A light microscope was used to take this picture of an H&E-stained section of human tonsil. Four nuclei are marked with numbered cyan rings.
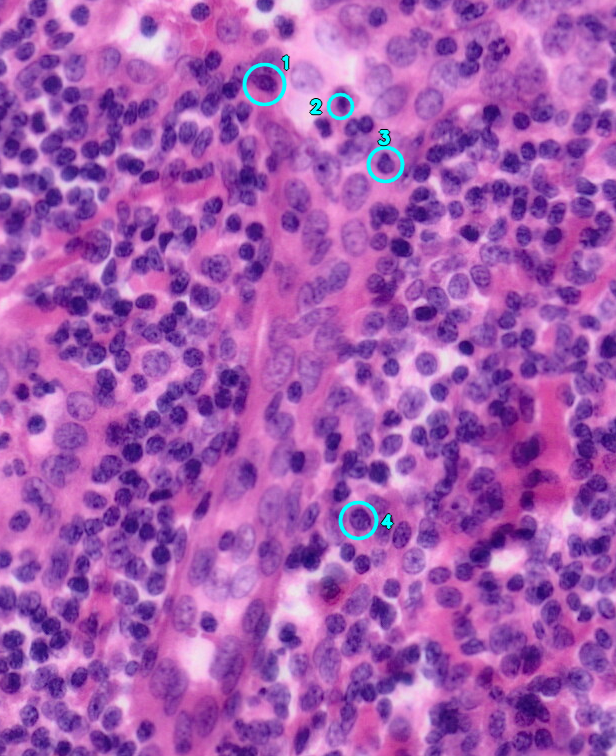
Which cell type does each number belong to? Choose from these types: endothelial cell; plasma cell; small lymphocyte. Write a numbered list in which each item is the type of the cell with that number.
1. endothelial cell
2. endothelial cell
3. endothelial cell
4. plasma cell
